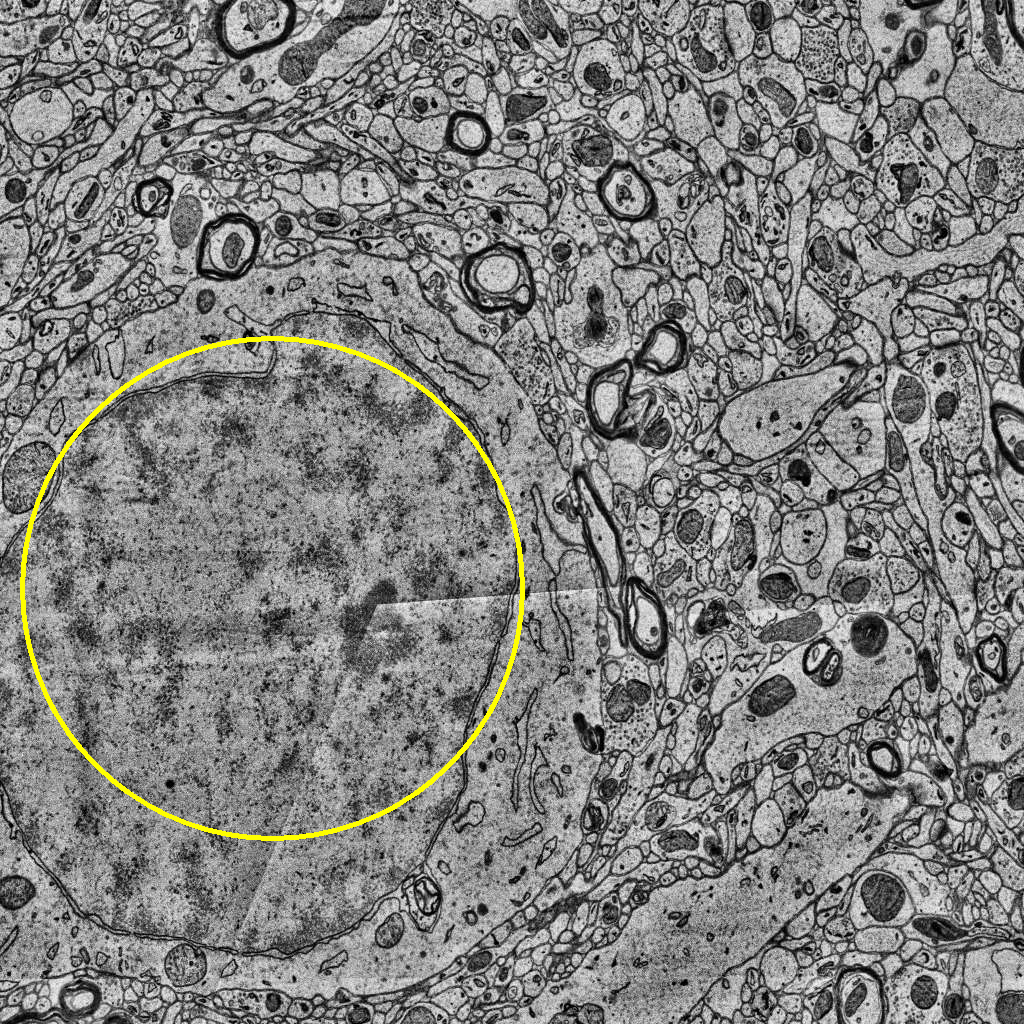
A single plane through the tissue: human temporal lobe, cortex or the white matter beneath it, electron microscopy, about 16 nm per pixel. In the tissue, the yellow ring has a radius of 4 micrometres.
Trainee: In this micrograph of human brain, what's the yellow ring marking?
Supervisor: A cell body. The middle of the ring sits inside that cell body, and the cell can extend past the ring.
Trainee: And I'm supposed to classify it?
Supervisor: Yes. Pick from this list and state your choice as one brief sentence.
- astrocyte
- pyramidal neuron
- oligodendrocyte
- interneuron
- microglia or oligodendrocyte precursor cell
The cell at the ring's center is an interneuron.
